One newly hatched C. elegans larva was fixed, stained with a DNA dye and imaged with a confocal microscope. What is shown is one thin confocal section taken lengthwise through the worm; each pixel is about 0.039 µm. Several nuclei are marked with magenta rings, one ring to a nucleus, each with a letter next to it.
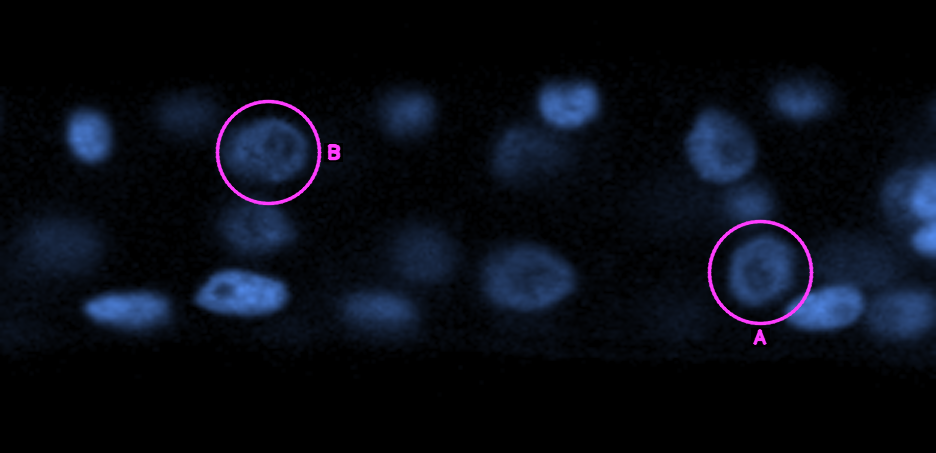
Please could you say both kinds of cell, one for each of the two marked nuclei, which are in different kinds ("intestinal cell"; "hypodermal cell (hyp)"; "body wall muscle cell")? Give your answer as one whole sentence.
A belongs to an intestinal cell and B to a hypodermal cell (hyp).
